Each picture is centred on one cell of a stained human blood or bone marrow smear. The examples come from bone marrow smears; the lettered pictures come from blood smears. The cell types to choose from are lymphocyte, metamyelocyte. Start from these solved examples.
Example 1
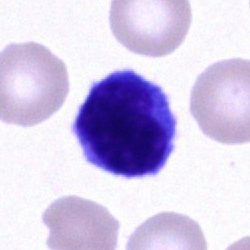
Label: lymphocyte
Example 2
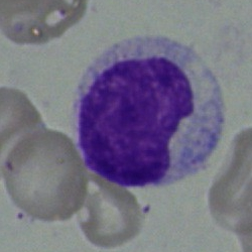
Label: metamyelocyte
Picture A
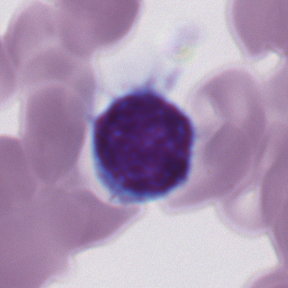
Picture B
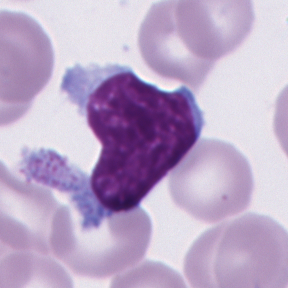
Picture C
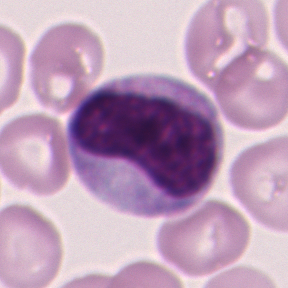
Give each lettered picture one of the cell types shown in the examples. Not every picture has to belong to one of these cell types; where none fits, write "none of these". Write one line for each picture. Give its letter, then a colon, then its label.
A: lymphocyte
B: lymphocyte
C: metamyelocyte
